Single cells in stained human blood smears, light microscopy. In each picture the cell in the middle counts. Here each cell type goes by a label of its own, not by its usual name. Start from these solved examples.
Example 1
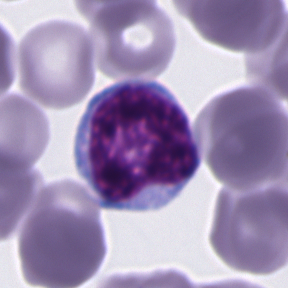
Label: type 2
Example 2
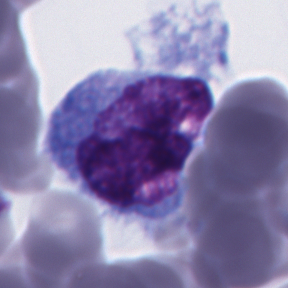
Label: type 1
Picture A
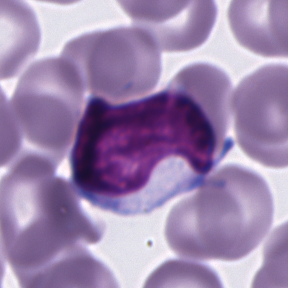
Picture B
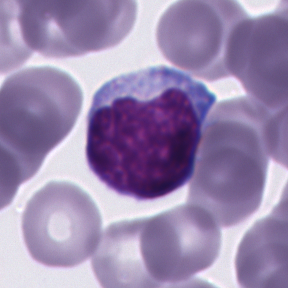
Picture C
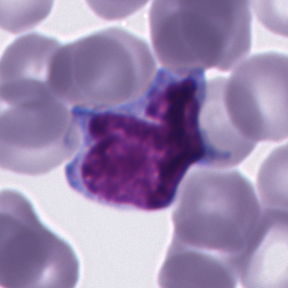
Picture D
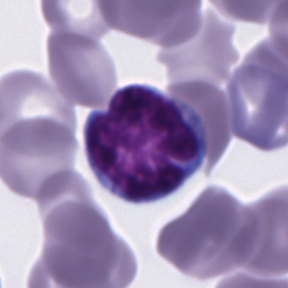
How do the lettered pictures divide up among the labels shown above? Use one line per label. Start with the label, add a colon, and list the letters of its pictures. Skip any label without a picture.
type 2: A, B, C, D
